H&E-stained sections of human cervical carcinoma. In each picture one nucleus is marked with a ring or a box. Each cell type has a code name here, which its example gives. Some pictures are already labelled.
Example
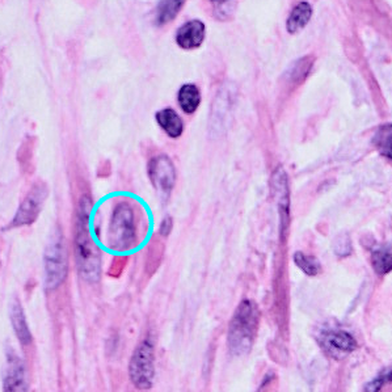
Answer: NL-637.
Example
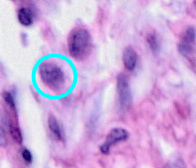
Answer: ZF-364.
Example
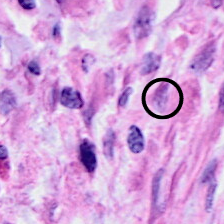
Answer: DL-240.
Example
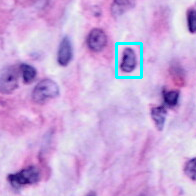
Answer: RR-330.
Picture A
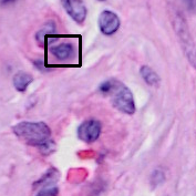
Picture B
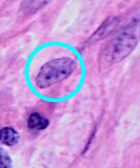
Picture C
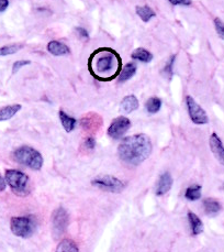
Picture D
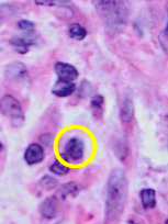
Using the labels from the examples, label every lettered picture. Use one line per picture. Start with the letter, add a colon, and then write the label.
A: NL-637.
B: ZF-364.
C: DL-240.
D: RR-330.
